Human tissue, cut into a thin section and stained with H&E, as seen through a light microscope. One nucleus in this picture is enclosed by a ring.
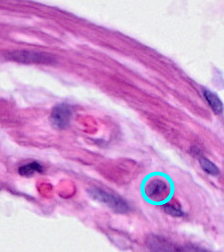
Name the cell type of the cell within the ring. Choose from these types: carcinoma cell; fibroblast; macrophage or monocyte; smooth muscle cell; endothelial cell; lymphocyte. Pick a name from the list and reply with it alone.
endothelial cell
